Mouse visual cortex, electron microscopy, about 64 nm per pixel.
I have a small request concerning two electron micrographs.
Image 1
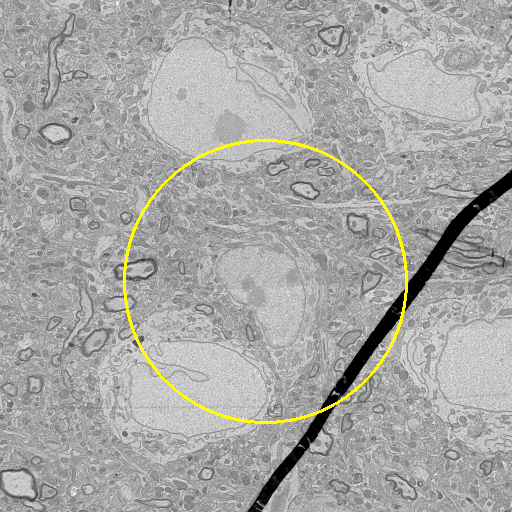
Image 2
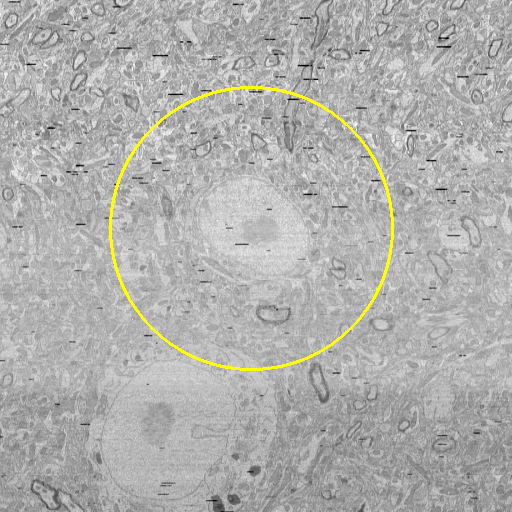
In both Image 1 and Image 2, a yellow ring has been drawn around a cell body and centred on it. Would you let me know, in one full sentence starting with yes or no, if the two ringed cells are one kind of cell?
Yes, the cells ringed in Image 1 and Image 2 are one kind of cell.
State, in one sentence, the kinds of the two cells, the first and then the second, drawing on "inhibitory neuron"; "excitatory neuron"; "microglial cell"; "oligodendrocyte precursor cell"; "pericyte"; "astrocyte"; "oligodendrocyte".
In each picture the ringed cell is an astrocyte.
